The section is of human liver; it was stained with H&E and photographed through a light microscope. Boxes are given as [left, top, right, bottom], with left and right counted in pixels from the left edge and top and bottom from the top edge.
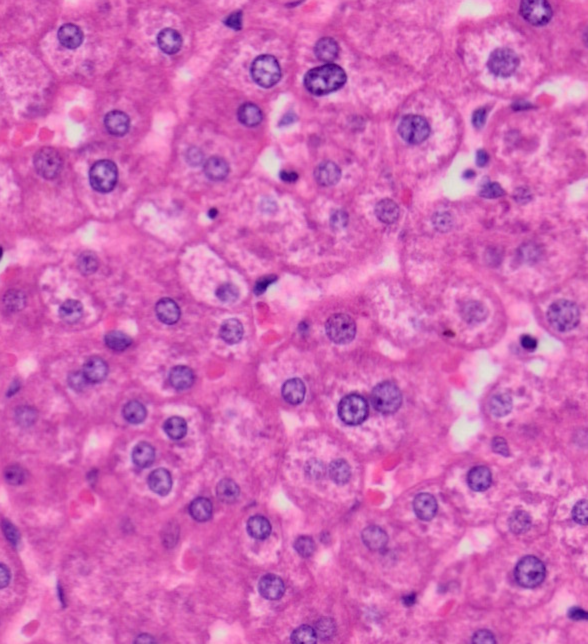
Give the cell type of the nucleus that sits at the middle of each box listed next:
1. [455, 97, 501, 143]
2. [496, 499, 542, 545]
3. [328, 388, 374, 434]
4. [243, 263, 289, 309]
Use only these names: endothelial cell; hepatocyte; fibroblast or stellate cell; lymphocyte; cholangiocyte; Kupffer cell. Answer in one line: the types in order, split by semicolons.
lymphocyte; hepatocyte; hepatocyte; endothelial cell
